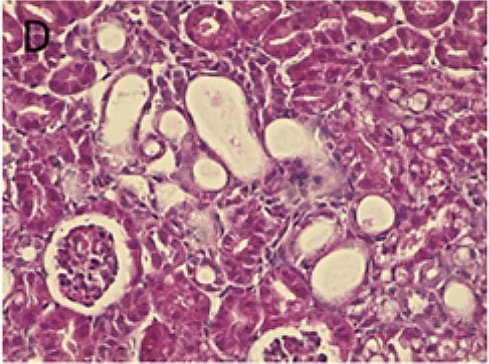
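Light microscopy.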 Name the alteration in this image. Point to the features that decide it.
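Several tubules have wide, rounded lumens filled with pale material. The lining of the widened tubules is thin and flattened.
Conclusion: Dilation of the tubules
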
